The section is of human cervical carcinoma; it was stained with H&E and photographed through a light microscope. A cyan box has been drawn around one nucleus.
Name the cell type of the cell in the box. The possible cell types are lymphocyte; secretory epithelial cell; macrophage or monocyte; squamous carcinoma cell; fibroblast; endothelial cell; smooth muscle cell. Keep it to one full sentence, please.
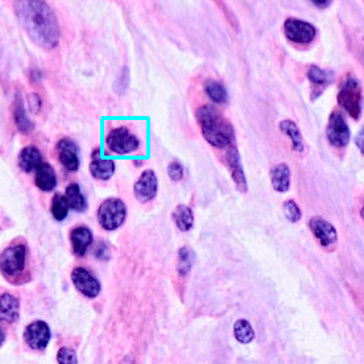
Among the cells in this section, the cell in the box is a lymphocyte.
